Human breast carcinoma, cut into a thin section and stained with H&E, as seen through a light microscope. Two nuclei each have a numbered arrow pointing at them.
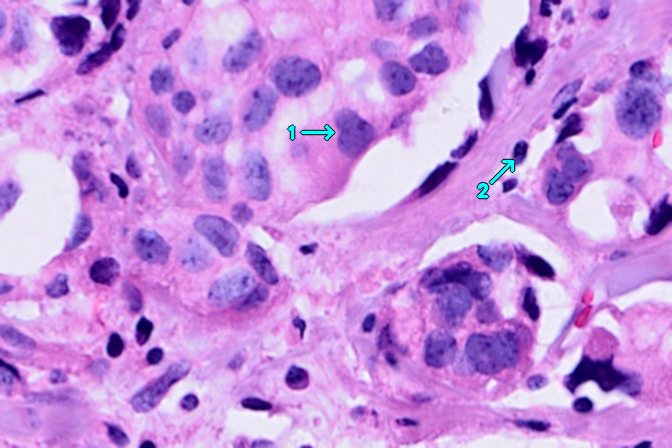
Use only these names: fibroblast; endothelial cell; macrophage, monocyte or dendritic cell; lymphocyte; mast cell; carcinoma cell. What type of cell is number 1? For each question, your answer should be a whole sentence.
The cell identified by the number 1 is a carcinoma cell.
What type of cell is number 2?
The cell identified by number 2 is a lymphocyte.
